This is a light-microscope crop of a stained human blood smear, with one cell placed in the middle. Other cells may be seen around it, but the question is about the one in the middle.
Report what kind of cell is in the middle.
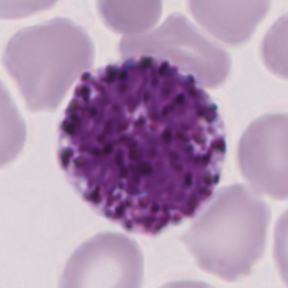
basophil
